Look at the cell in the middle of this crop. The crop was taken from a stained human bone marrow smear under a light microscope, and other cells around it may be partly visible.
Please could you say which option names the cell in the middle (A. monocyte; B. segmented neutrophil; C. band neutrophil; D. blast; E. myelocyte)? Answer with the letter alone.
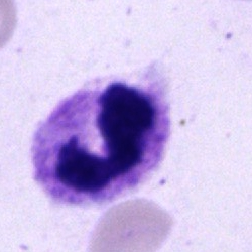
B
